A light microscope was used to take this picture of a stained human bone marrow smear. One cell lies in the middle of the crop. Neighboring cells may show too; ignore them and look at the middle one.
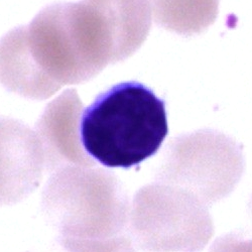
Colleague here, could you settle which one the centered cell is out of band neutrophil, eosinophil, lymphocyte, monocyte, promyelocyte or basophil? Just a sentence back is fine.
Regarding the central cell, it is a lymphocyte.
